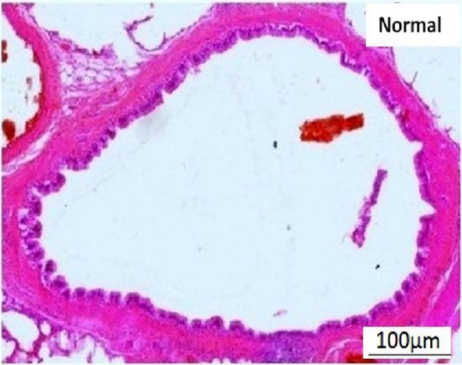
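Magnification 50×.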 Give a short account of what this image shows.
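This is a bronchiole of the lung lined by a single row of epithelial cells whose purple nuclei sit along small folds of the lining. The epithelium rests on a thin, pink wall with few cells around it, and the wide lumen is empty apart from small red fragments.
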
